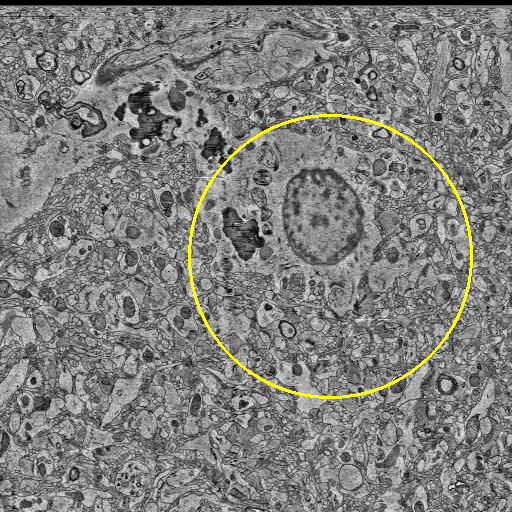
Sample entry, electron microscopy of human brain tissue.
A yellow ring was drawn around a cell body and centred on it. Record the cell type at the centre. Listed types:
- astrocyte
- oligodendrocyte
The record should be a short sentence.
The cell at the ring's centre is an astrocyte.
